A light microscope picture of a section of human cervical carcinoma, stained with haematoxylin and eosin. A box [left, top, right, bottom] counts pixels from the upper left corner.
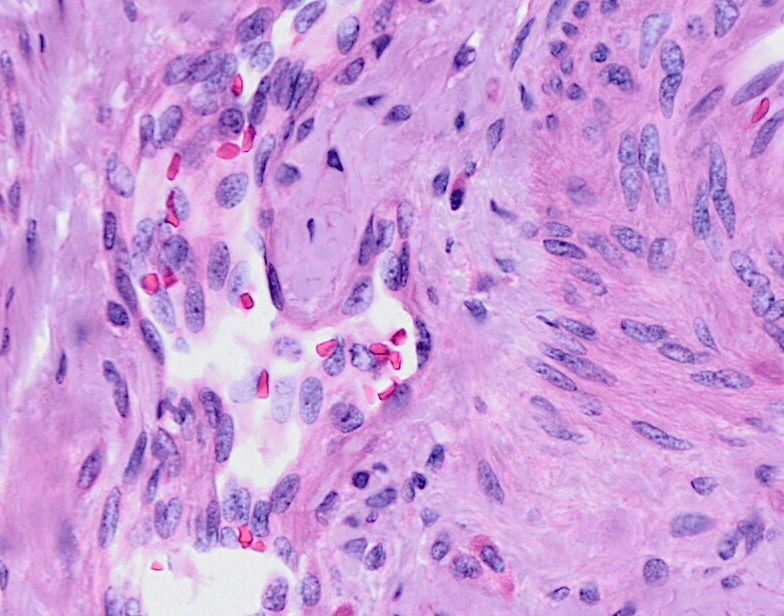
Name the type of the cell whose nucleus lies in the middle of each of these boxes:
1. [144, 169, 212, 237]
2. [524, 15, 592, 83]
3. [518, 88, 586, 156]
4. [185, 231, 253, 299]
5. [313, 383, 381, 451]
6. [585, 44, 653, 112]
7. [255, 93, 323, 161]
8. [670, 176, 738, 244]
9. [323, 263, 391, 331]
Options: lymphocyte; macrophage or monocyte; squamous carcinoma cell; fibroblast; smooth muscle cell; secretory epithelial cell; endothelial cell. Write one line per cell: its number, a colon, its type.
1: endothelial cell
2: smooth muscle cell
3: smooth muscle cell
4: endothelial cell
5: endothelial cell
6: smooth muscle cell
7: endothelial cell
8: smooth muscle cell
9: endothelial cell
